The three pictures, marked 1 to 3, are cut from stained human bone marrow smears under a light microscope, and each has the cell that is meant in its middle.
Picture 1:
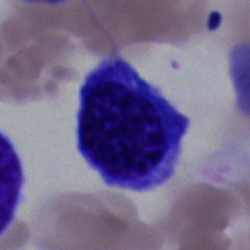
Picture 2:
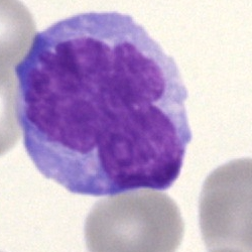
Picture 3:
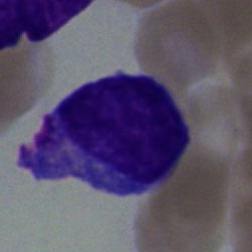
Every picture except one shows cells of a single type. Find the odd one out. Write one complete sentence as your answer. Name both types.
The different one is picture 1; it shows an erythroblast, whereas all the others show blasts.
